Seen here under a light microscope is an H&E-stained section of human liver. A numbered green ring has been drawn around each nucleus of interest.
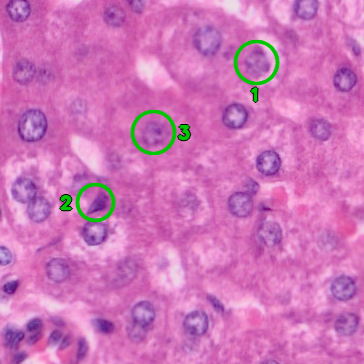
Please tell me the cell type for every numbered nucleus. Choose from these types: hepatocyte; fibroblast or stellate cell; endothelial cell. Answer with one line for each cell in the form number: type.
1: hepatocyte
2: fibroblast or stellate cell
3: hepatocyte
